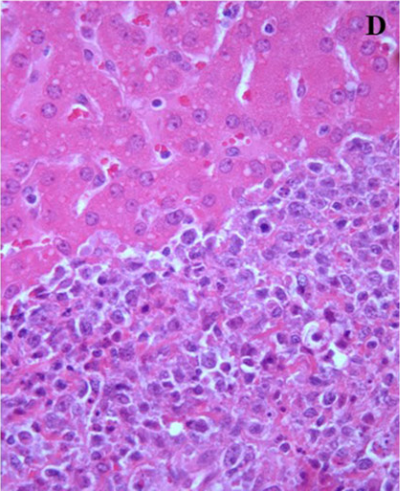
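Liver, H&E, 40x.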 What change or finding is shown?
Lymphoid infiltration.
